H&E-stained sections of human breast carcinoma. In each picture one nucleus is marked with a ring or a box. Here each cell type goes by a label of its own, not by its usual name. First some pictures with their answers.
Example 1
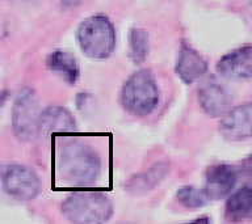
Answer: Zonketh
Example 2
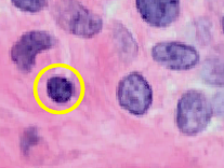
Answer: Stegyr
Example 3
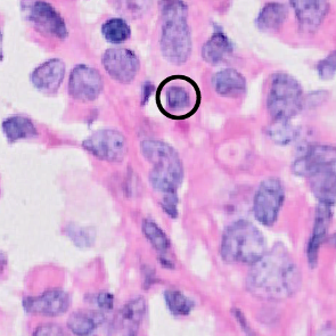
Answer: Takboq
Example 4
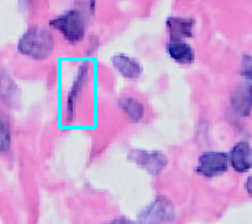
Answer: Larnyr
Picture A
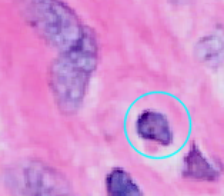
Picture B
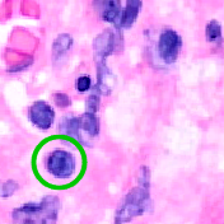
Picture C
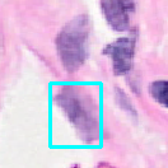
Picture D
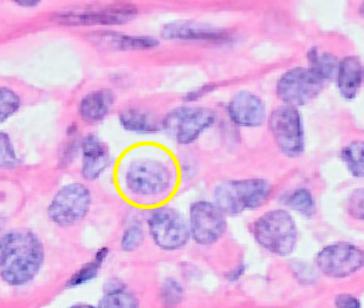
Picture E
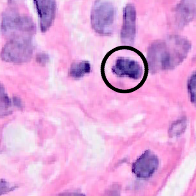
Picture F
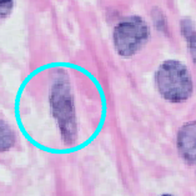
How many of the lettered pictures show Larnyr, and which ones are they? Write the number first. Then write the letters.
1: F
